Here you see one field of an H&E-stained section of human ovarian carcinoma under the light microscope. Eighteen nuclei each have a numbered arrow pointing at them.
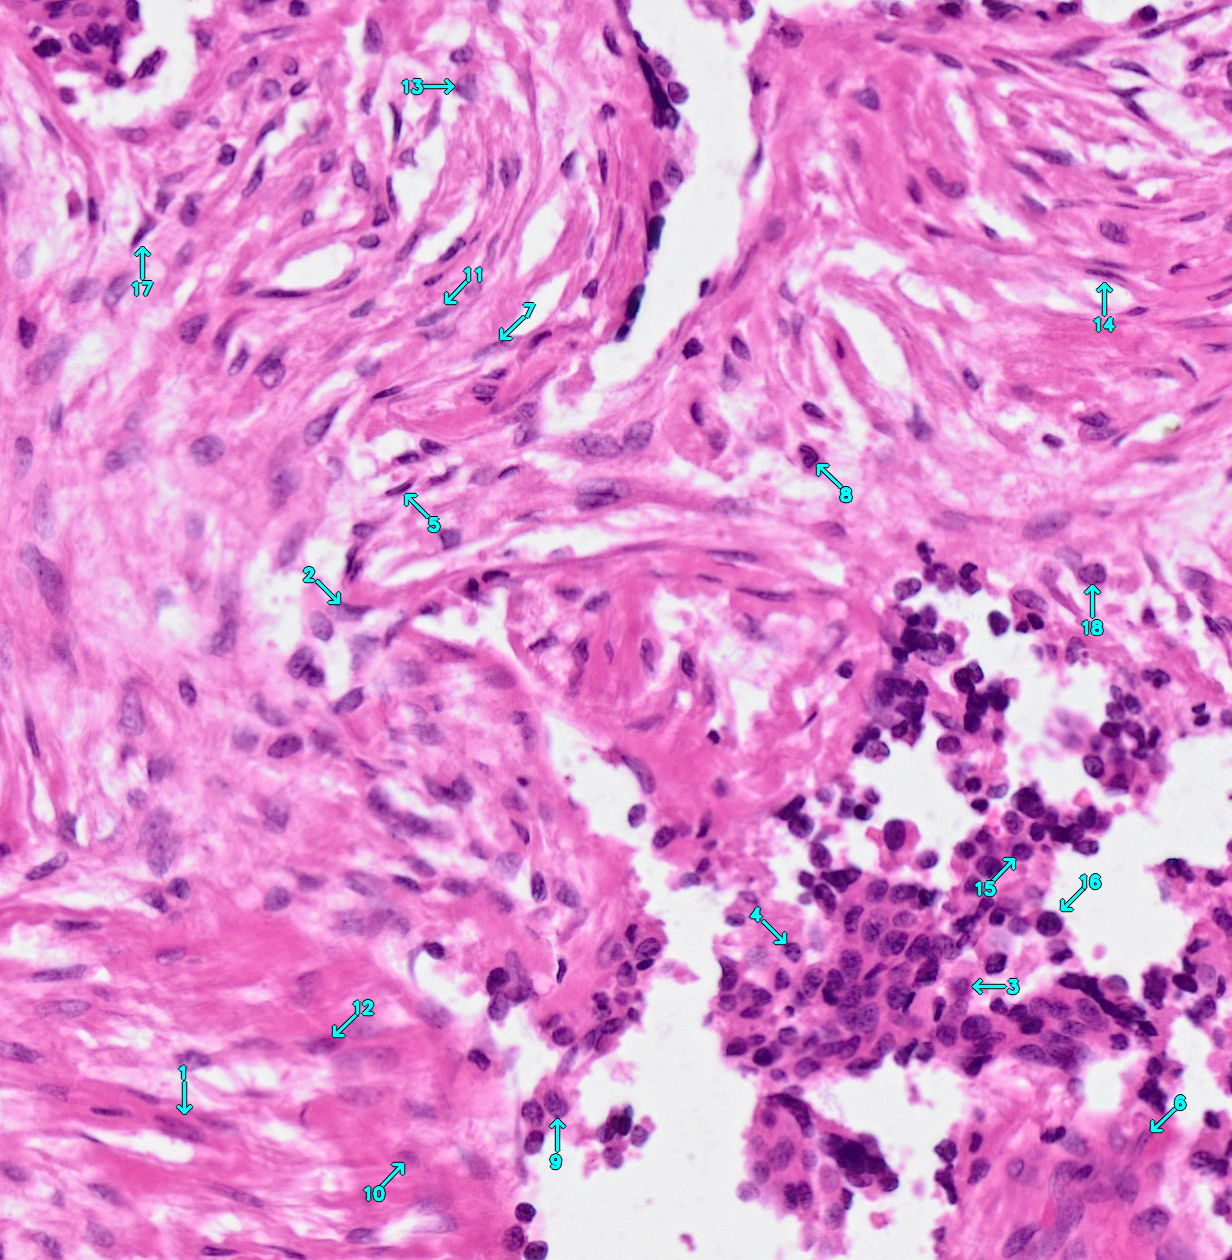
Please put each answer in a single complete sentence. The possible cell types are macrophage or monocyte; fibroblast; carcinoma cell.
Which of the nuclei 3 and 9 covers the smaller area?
With nucleus 9 about 1.5 times its size, nucleus 3 is the smaller of the two.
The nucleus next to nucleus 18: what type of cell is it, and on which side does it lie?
The nearest nucleus is that of a fibroblast and lies above and to the left of nucleus 18.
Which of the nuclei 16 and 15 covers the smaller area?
Number 15 is smaller, since number 16 takes up about 1.5 times as much area.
